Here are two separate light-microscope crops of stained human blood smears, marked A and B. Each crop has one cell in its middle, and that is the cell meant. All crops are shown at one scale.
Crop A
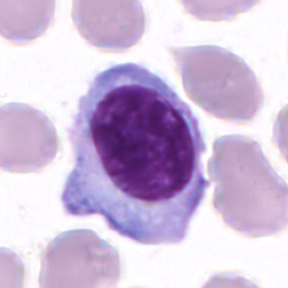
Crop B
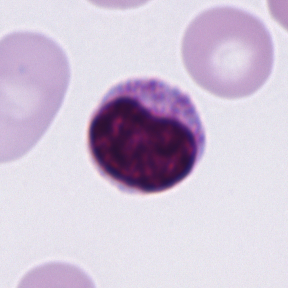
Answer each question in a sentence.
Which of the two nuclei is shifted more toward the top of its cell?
In crop A the nucleus is shifted more toward the top.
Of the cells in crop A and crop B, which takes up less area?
Smaller is the cell in crop B, and the other is about 2 times as large in area.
